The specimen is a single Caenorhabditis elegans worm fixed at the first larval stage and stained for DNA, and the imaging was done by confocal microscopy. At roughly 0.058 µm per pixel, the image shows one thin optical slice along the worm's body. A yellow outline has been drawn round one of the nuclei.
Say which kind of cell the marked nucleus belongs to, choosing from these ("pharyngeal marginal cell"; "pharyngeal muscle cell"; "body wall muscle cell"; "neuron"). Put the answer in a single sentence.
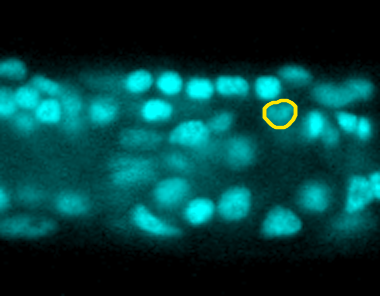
The marked nucleus belongs to a pharyngeal marginal cell.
